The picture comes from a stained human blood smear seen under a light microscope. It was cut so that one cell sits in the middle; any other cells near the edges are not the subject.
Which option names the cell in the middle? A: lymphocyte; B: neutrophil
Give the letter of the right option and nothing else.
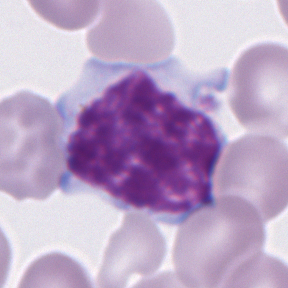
A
